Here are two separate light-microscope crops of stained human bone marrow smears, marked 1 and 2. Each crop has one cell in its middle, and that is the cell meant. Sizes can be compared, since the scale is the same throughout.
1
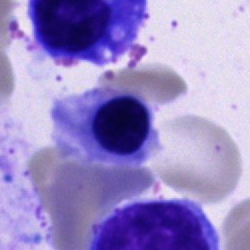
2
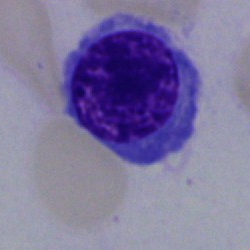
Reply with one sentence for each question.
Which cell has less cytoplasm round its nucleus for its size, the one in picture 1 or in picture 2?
Of the two, the nucleus in picture 2 makes up the greater part of its cell.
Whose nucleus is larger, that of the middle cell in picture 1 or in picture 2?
The nucleus in picture 2 is larger, with about 4 times the area of the one in picture 1.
